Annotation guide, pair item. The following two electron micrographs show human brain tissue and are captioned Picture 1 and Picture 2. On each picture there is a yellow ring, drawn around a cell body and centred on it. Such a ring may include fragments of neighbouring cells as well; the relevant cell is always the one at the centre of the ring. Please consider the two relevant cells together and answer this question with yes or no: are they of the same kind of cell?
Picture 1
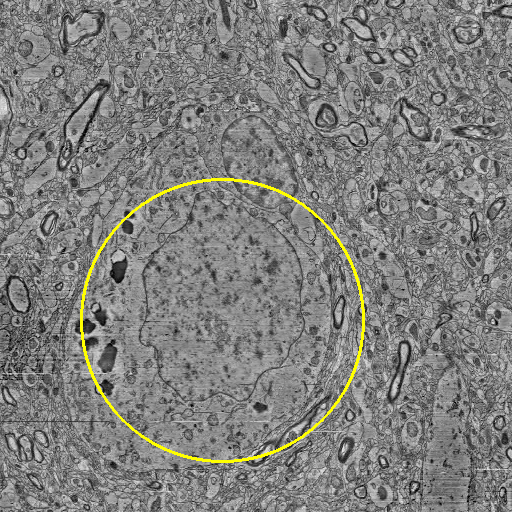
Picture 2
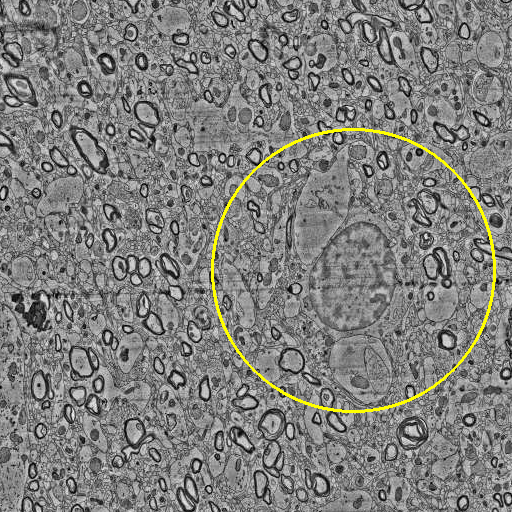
no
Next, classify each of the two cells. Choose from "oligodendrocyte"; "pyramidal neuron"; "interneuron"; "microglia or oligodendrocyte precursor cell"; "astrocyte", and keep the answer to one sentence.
In the first picture it is a pyramidal neuron; in the second it is an oligodendrocyte.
